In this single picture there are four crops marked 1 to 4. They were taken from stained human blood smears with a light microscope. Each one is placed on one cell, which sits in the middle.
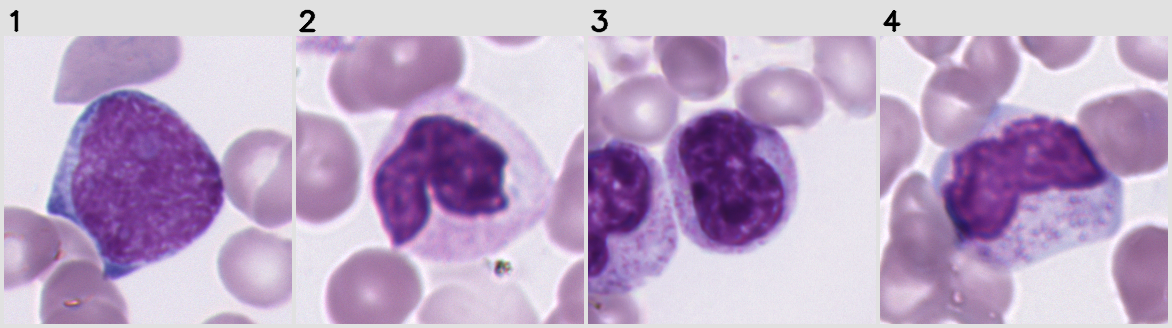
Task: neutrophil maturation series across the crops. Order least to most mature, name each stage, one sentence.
Ranked in ascending maturity, the crops are crop 1 (a myeloblast), crop 4 (a myelocyte), crop 3 (a metamyelocyte) and crop 2 (a band neutrophil).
